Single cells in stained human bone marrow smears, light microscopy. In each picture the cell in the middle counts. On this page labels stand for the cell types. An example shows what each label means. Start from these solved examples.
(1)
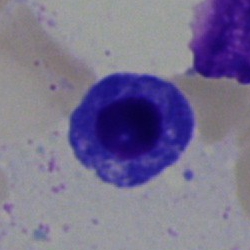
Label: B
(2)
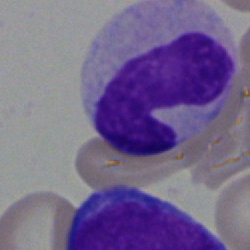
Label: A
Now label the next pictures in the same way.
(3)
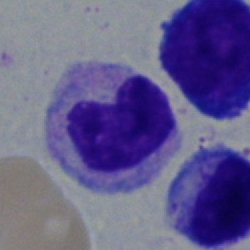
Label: A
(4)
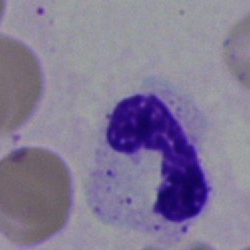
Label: A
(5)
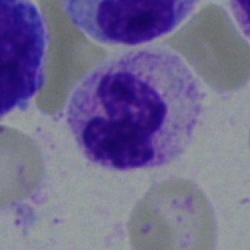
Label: A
